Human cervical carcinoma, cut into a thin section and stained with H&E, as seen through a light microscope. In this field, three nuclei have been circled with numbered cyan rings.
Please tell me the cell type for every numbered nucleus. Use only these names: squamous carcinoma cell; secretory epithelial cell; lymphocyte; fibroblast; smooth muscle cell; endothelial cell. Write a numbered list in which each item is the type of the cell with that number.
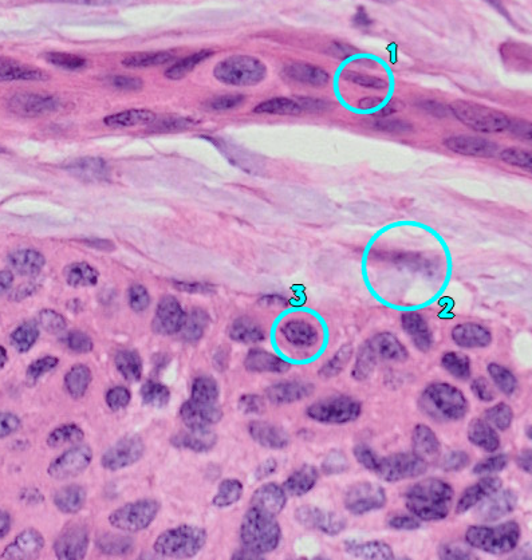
1. squamous carcinoma cell
2. fibroblast
3. squamous carcinoma cell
